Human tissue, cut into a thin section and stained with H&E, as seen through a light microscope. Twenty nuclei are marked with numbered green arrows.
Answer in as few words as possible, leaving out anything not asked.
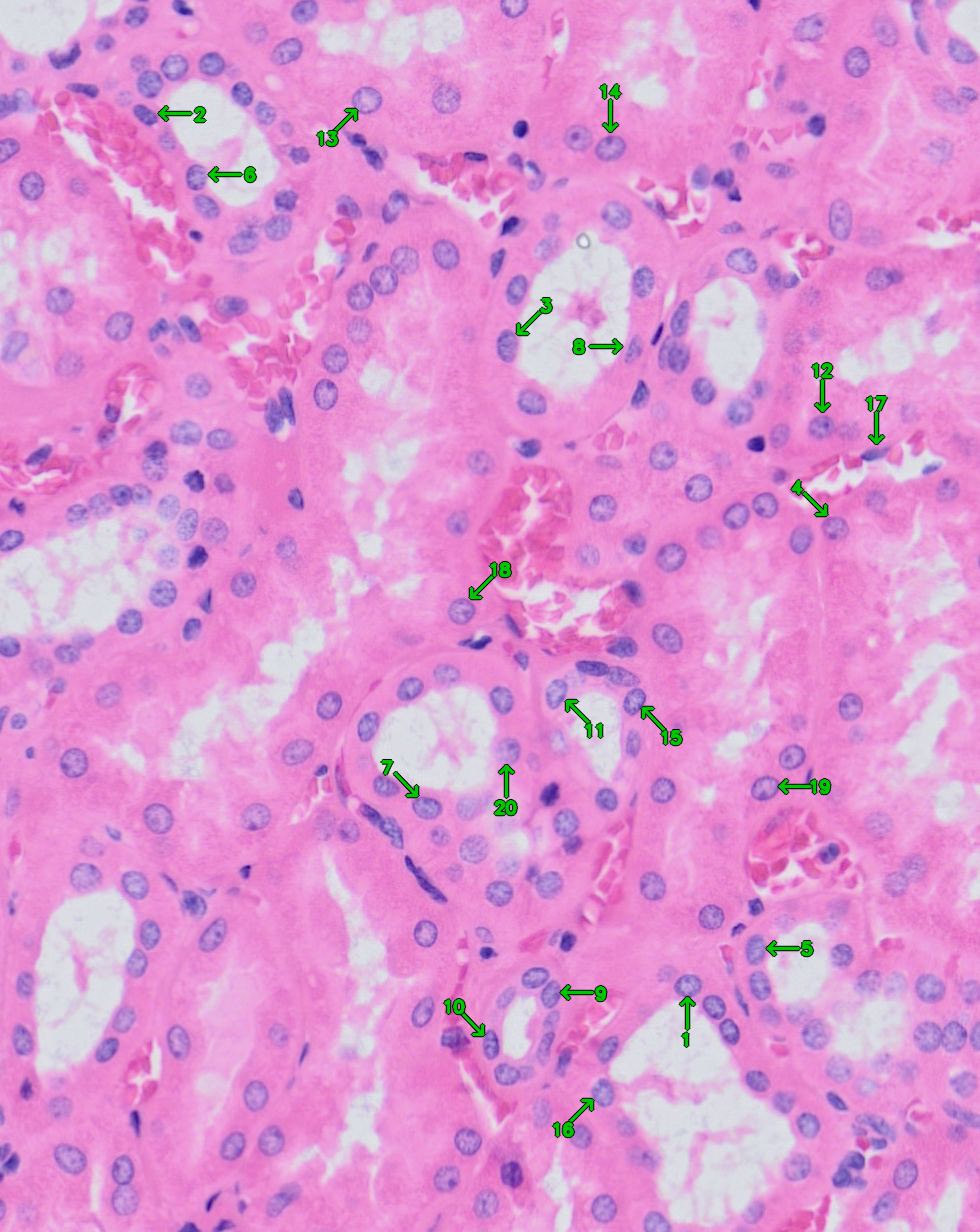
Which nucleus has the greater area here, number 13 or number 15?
13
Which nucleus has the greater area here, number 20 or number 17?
20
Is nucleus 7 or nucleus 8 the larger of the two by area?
7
